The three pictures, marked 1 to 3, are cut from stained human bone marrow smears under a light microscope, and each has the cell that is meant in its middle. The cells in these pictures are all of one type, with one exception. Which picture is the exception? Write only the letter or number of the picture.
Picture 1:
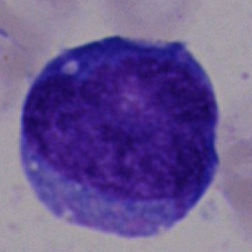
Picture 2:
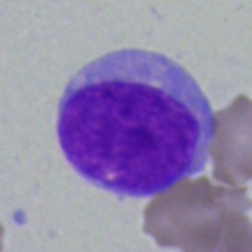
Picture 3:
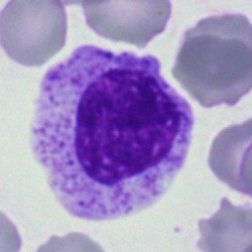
3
